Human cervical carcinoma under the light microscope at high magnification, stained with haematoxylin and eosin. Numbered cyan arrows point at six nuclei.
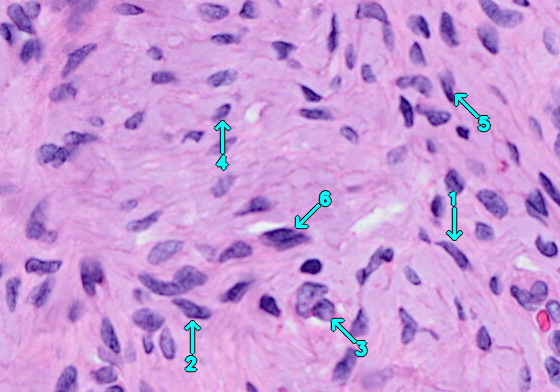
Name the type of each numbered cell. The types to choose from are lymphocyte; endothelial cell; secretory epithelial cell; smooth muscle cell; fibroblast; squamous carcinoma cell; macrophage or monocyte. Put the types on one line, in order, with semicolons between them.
fibroblast; fibroblast; endothelial cell; fibroblast; fibroblast; endothelial cell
